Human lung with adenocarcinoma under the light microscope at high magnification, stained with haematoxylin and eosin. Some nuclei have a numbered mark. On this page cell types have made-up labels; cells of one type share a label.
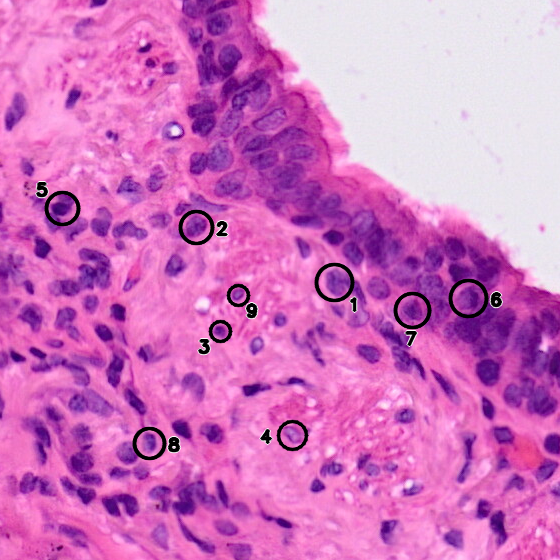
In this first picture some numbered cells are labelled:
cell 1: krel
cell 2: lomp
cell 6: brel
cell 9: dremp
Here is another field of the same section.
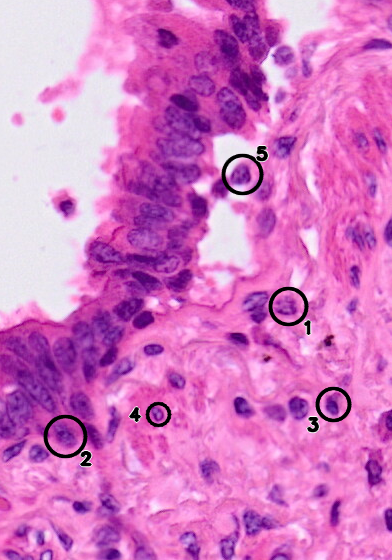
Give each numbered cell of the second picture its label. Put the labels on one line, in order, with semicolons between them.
lomp; brel; krel; dremp; krel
